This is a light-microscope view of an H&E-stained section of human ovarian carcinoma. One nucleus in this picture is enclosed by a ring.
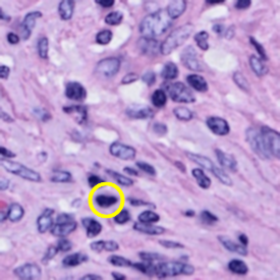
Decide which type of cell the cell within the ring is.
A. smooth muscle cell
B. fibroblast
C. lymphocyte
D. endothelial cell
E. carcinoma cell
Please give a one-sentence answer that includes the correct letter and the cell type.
Of the options given, C is right: the cell within the ring is a lymphocyte.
